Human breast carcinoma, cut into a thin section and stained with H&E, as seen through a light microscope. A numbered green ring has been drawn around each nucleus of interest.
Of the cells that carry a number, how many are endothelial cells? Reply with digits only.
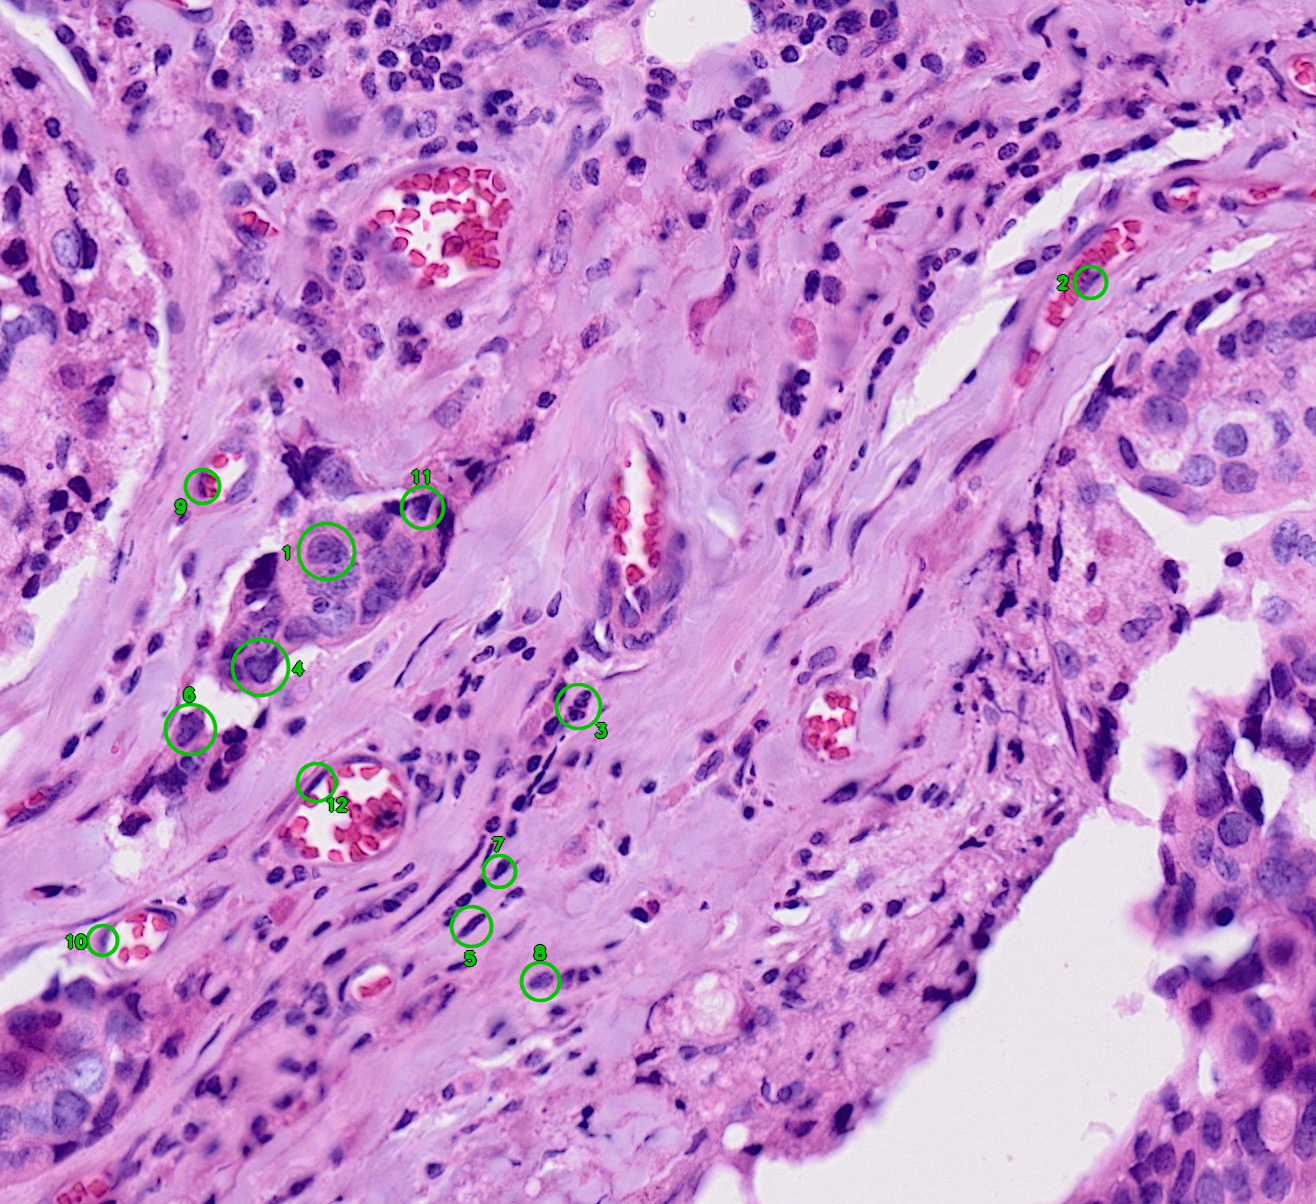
4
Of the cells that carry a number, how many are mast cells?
1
